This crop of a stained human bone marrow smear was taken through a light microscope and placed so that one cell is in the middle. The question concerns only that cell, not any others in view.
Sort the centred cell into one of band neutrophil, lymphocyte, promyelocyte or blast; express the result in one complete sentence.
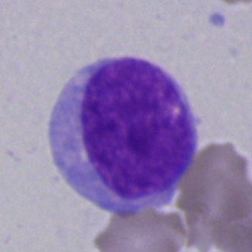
The cell at the heart of this crop is a blast.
